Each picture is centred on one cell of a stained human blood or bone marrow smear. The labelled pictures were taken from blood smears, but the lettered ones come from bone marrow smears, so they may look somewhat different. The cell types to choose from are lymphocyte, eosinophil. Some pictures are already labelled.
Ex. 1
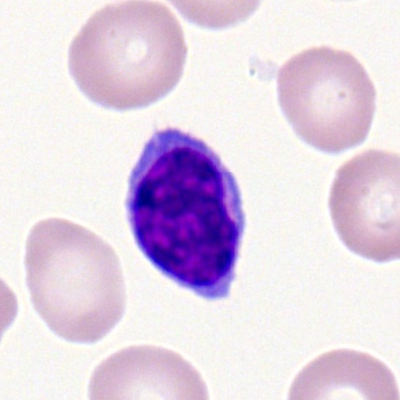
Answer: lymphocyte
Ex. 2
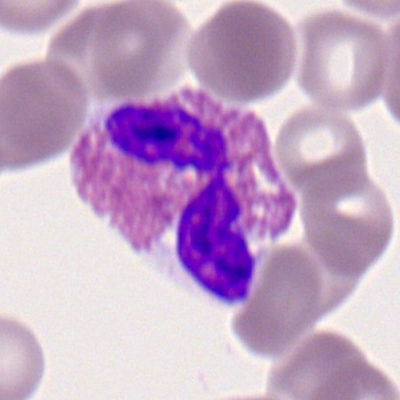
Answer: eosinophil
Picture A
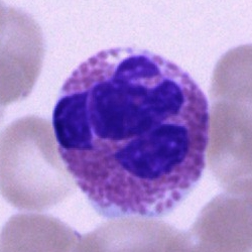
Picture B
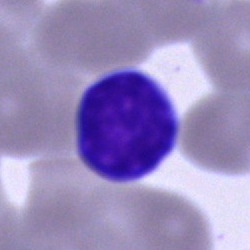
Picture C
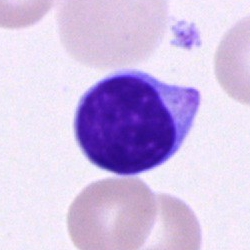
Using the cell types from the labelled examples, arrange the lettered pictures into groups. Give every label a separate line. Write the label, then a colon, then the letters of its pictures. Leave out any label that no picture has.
lymphocyte: B, C
eosinophil: A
